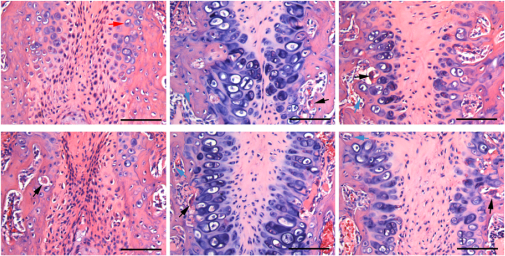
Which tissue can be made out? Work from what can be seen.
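Palatal suture. This band is flanked on both sides by cartilage with rounded cells in lacunae and by pink bone.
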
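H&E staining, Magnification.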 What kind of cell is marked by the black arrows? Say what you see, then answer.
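The black arrows point to cells lining spaces at the edge of the pink bone. The cells they mark lie at the bone surface, apart from the rows of cartilage cells. That points to this answer: osteoclast.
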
